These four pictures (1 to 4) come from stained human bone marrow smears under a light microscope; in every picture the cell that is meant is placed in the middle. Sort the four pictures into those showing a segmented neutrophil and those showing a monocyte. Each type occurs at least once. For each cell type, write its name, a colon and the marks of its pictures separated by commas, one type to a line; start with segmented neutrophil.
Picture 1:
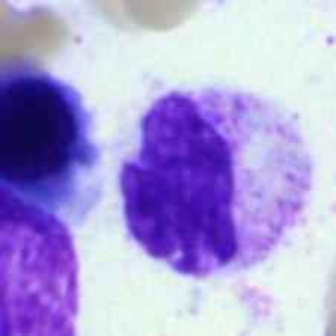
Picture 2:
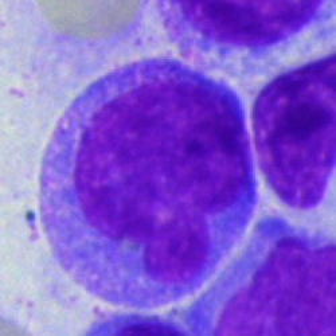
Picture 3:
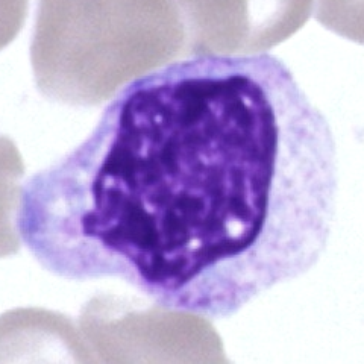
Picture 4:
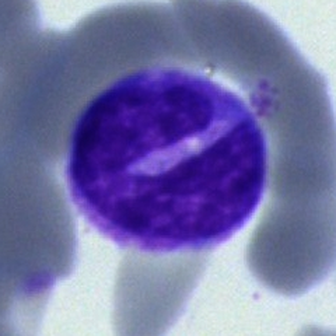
segmented neutrophil: 1
monocyte: 2, 3, 4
